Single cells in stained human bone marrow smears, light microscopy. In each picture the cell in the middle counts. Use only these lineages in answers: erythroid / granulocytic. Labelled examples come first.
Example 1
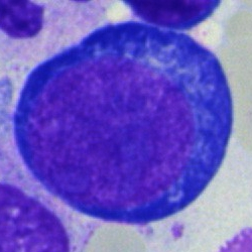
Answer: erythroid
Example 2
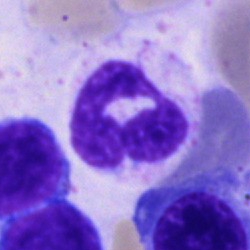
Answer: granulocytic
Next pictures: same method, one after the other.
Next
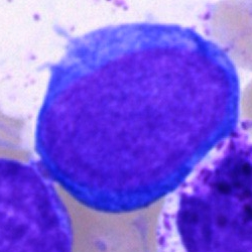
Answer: erythroid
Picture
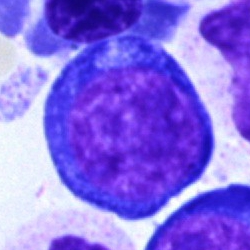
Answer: erythroid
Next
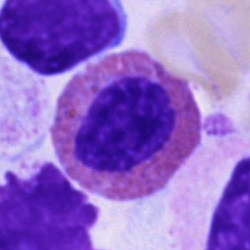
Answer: granulocytic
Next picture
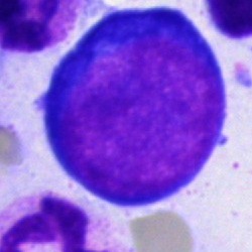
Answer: erythroid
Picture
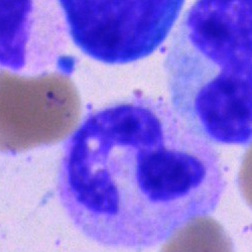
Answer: granulocytic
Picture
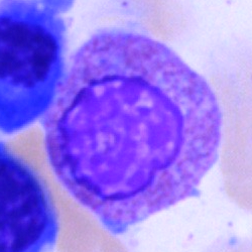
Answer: granulocytic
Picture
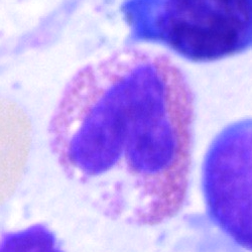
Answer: granulocytic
